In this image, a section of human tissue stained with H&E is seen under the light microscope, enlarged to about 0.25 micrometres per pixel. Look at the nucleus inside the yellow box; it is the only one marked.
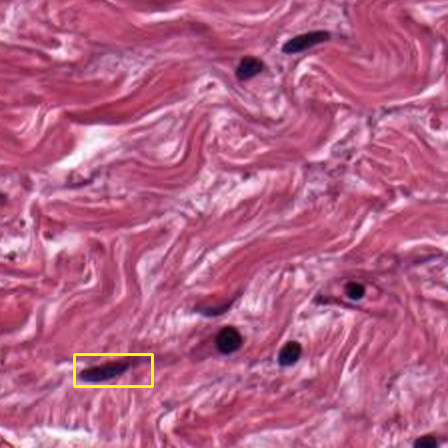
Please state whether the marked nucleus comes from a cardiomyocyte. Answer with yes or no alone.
no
